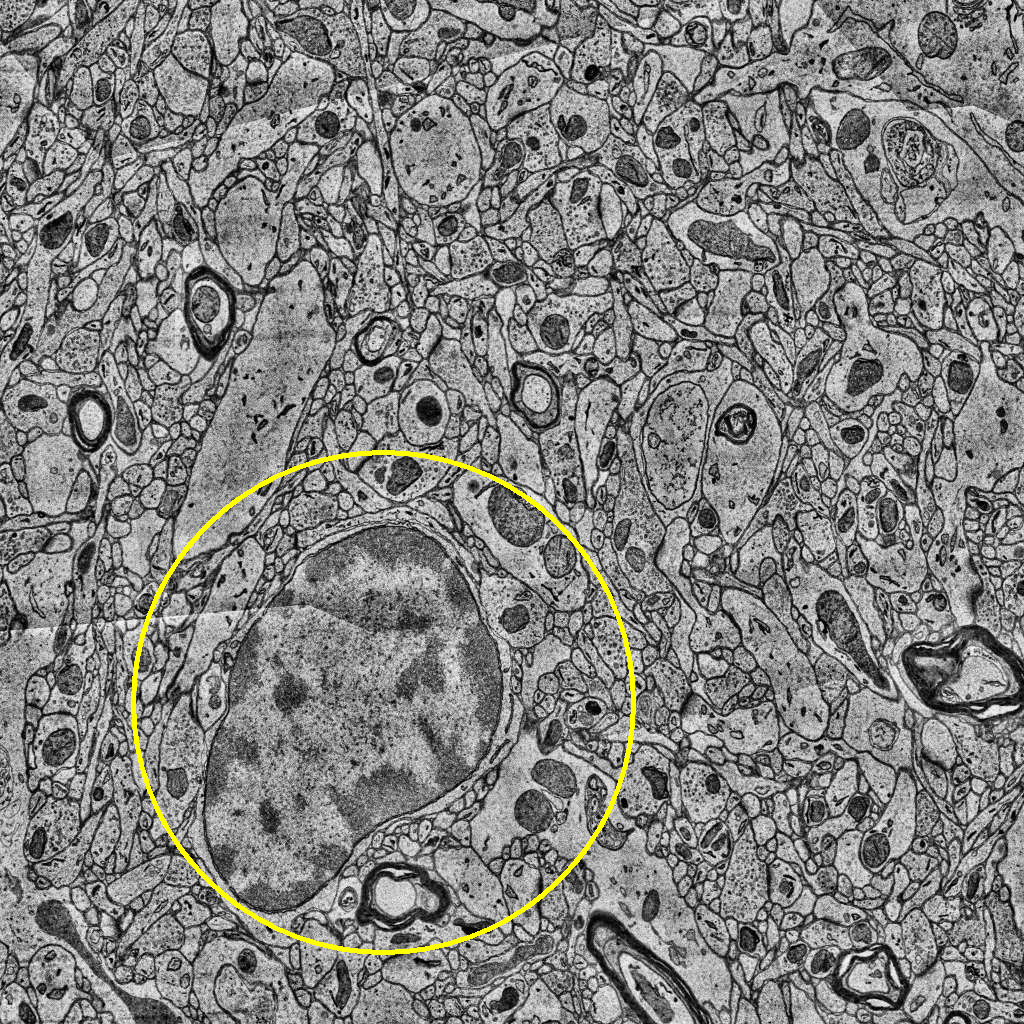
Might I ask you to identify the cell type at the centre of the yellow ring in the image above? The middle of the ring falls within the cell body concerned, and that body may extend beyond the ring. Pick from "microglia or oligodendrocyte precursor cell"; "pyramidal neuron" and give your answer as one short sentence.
The centre of the ring falls on a microglial cell or oligodendrocyte precursor cell.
